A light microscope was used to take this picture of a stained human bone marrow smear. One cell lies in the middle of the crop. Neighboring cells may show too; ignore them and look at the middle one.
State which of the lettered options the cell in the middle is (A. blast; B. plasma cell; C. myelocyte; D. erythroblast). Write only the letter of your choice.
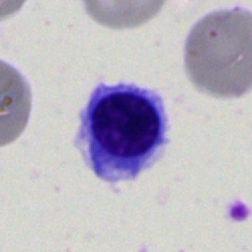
D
